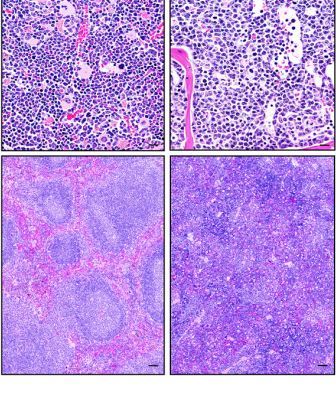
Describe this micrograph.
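The left marrow section shows a mixed population of hematopoietic cells with scattered large cells that have abundant pink cytoplasm, whereas the right marrow section is packed with sheets of closely set, fairly uniform cells with purple nuclei and shows fewer of these large cells; pink bone lies at its edges. In the left spleen section, rounded dark purple follicles of white pulp stand apart from the paler, pinker red pulp. In the right spleen section, this pattern is lost and the tissue is diffusely filled with purple cells.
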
